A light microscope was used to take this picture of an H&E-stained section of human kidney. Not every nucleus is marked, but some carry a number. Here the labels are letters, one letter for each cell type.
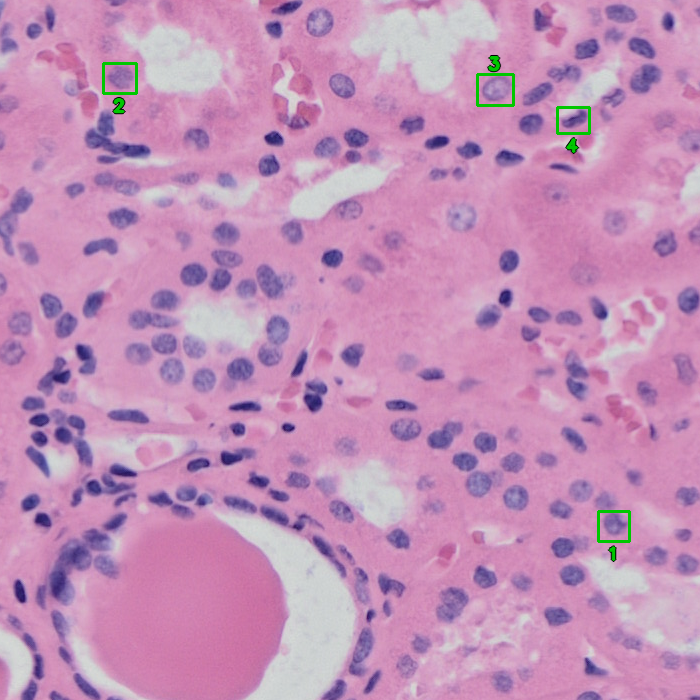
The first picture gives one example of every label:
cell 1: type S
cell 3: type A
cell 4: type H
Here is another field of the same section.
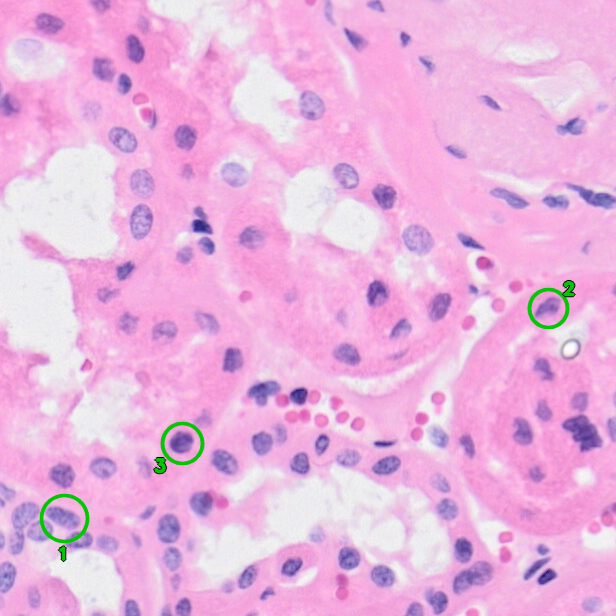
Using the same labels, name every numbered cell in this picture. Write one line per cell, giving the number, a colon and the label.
1: type H
2: type A
3: type A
